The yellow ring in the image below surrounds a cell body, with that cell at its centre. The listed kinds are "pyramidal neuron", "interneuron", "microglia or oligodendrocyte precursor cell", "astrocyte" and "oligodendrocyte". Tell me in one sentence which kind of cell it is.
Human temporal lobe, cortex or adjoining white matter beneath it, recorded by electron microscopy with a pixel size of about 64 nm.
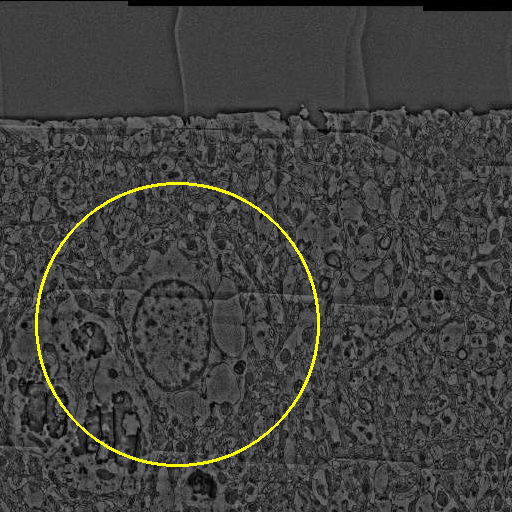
The centre of the ring holds an astrocyte.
